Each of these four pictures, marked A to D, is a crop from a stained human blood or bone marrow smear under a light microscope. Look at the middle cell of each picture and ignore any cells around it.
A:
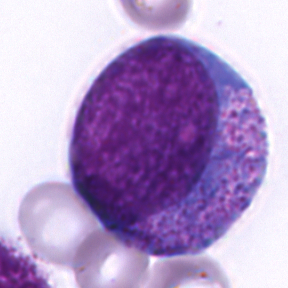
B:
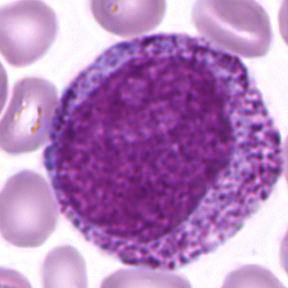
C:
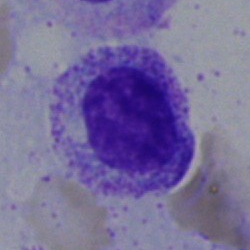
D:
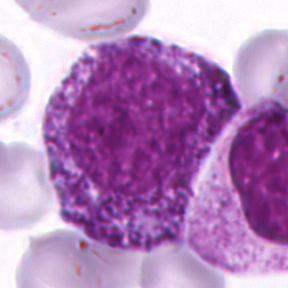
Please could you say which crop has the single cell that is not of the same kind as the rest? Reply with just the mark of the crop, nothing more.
C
